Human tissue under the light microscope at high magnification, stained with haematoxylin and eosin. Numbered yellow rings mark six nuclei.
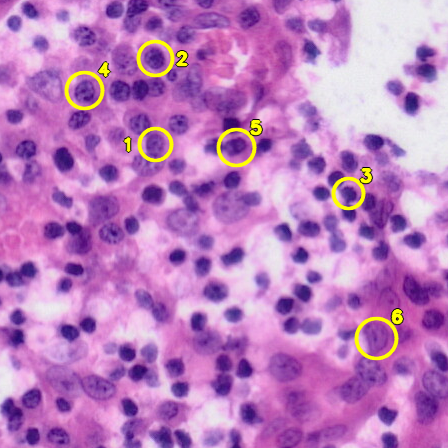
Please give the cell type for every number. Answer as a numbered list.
1. plasma cell
2. plasma cell
3. small lymphocyte
4. plasma cell
5. plasma cell
6. squamous epithelial cell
